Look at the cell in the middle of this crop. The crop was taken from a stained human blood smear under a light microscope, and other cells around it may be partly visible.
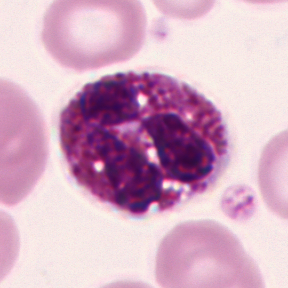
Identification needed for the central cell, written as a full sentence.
The cell centered in this field of view is an eosinophil.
